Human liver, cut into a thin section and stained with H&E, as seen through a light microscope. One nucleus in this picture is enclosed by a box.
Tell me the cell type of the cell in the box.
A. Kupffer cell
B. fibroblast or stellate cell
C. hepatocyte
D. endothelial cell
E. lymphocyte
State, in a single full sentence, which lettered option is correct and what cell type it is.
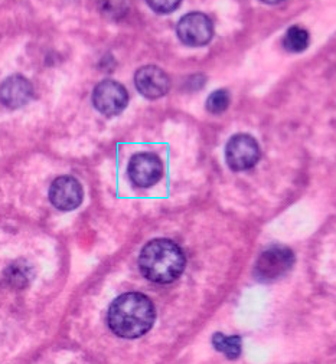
Option C is the correct one, since the cell in the box is a hepatocyte.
